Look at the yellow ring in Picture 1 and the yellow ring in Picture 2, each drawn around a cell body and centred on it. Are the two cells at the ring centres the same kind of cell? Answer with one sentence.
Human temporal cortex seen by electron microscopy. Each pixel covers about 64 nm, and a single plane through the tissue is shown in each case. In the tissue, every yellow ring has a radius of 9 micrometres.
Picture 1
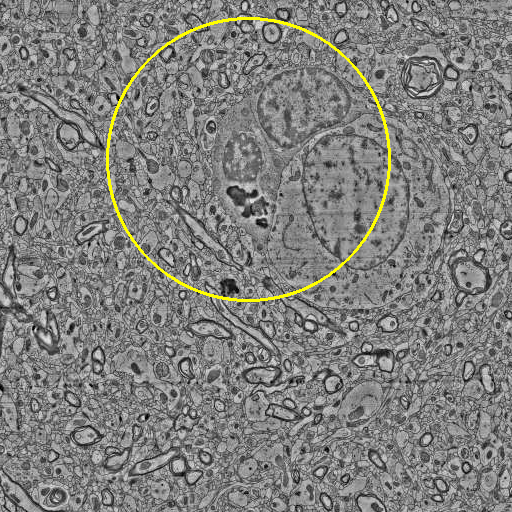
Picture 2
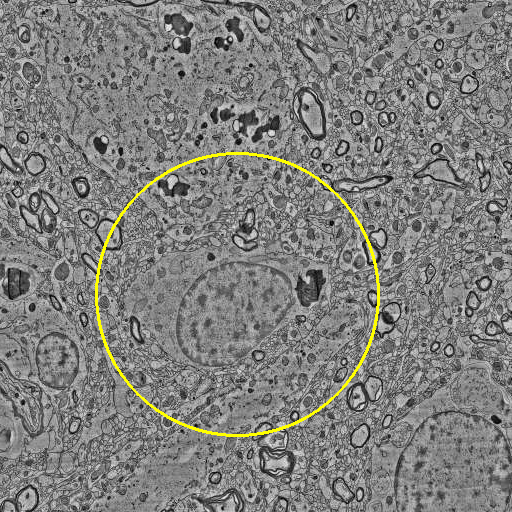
Yes, both are the same kind of cell.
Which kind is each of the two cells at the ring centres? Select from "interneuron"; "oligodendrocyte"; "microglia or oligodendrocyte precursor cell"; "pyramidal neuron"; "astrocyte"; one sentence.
In both pictures the ring is centred on an oligodendrocyte.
